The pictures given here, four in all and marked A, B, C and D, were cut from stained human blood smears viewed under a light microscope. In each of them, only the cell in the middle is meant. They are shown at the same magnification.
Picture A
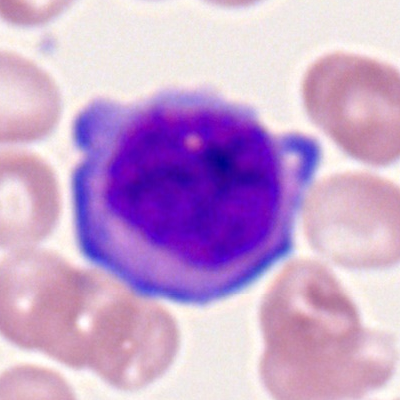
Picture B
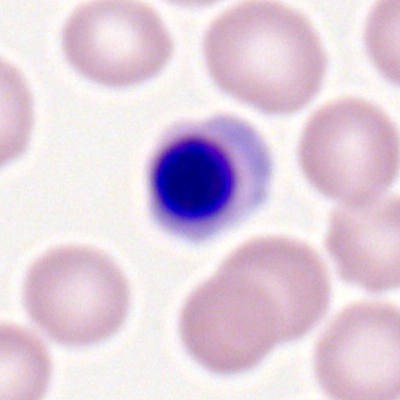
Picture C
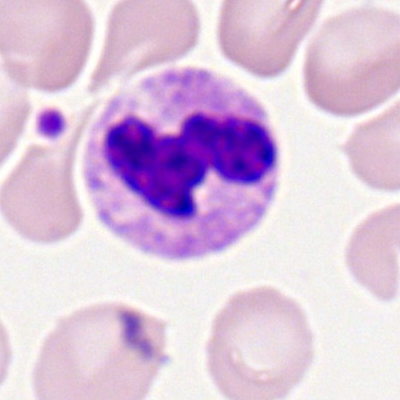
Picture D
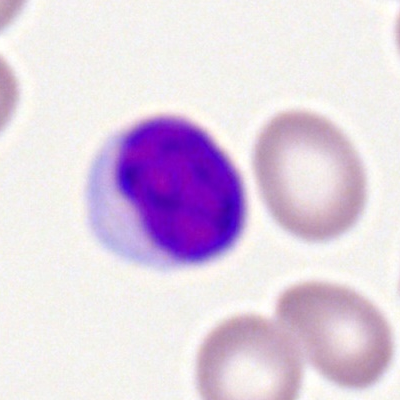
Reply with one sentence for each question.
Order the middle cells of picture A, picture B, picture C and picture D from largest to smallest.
Going down, they run A, C, D, B.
